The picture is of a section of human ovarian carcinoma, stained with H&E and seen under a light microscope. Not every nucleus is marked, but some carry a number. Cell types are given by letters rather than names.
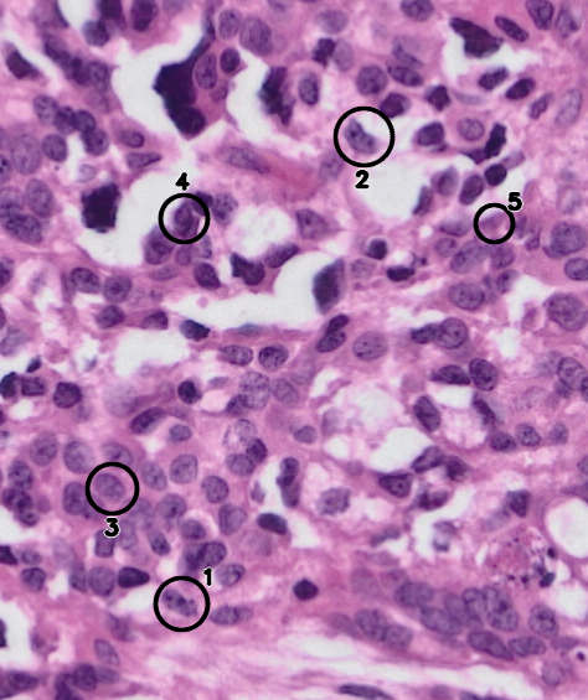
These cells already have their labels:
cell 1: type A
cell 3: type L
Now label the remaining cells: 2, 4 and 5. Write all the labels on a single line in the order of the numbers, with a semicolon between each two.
type A; type L; type L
